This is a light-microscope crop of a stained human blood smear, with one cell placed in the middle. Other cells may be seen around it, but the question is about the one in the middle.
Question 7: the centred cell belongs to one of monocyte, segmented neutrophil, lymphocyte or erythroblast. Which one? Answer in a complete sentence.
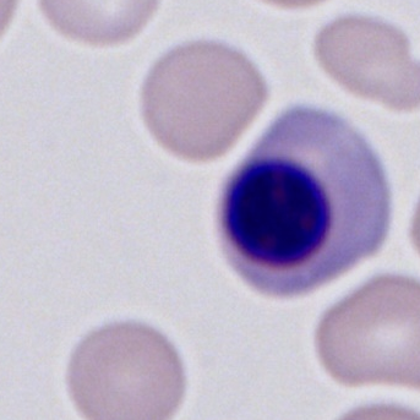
The cell at the heart of this crop is an erythroblast.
